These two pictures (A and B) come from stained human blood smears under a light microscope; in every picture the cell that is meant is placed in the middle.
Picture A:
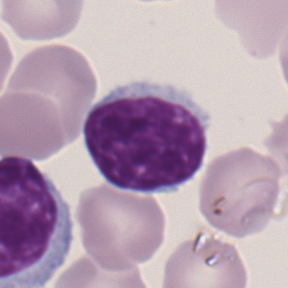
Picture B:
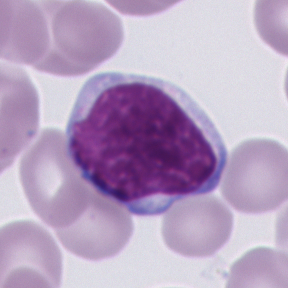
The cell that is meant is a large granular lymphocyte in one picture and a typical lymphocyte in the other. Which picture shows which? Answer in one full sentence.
The cell in picture A is a typical lymphocyte, and the one in picture B is a large granular lymphocyte.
